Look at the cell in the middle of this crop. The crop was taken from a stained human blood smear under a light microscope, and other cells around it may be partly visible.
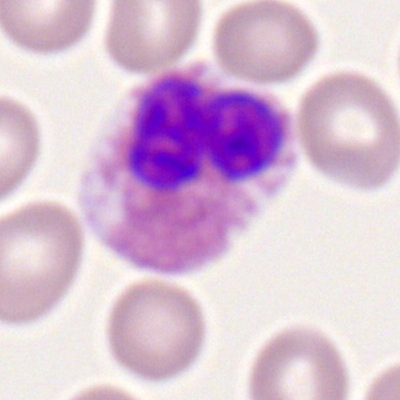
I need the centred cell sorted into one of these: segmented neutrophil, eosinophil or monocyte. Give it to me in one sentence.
The cell occupying the middle of the crop is an eosinophil.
